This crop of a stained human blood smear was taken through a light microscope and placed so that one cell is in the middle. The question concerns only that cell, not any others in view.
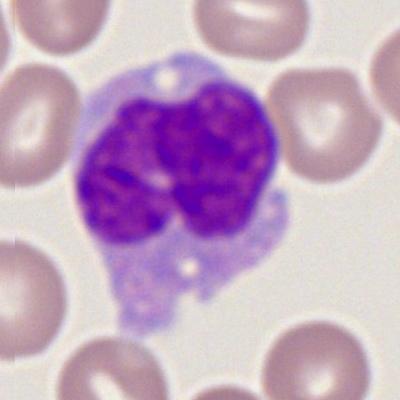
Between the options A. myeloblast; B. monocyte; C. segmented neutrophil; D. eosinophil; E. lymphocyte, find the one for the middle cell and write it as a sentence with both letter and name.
Option B is the correct one; it names the central cell as a monocyte.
